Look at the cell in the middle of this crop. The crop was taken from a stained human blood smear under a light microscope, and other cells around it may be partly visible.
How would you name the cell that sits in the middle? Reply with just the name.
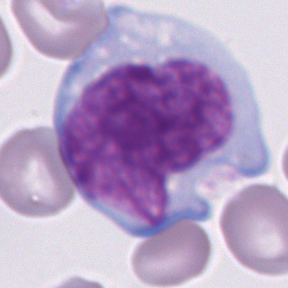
myeloblast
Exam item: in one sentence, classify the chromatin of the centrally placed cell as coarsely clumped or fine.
There is no coarse clumping; the chromatin stays fine throughout.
